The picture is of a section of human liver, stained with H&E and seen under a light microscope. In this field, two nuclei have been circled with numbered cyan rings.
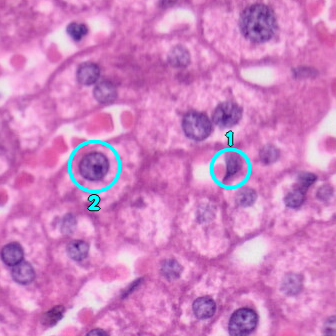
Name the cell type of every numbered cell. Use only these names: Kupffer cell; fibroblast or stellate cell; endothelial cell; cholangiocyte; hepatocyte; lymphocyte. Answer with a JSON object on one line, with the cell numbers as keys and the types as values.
{"1": "endothelial cell", "2": "hepatocyte"}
